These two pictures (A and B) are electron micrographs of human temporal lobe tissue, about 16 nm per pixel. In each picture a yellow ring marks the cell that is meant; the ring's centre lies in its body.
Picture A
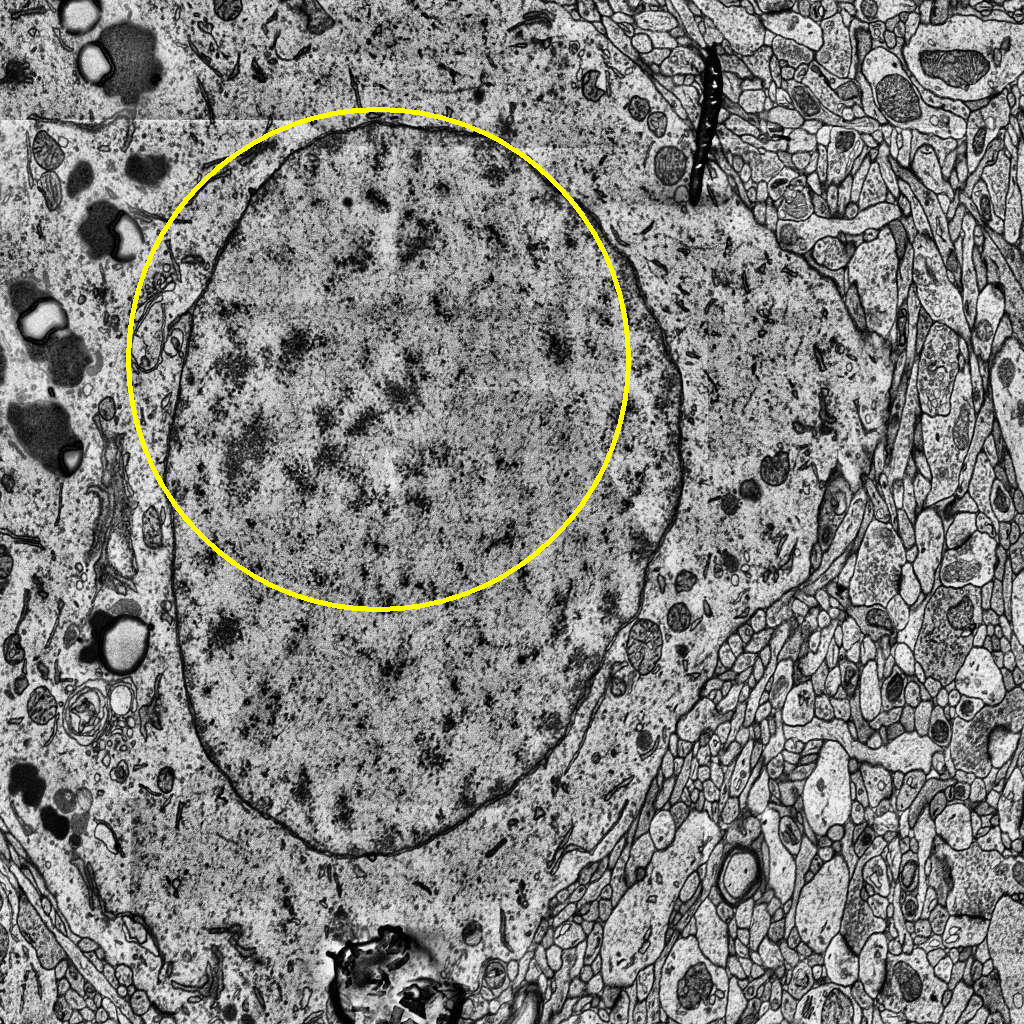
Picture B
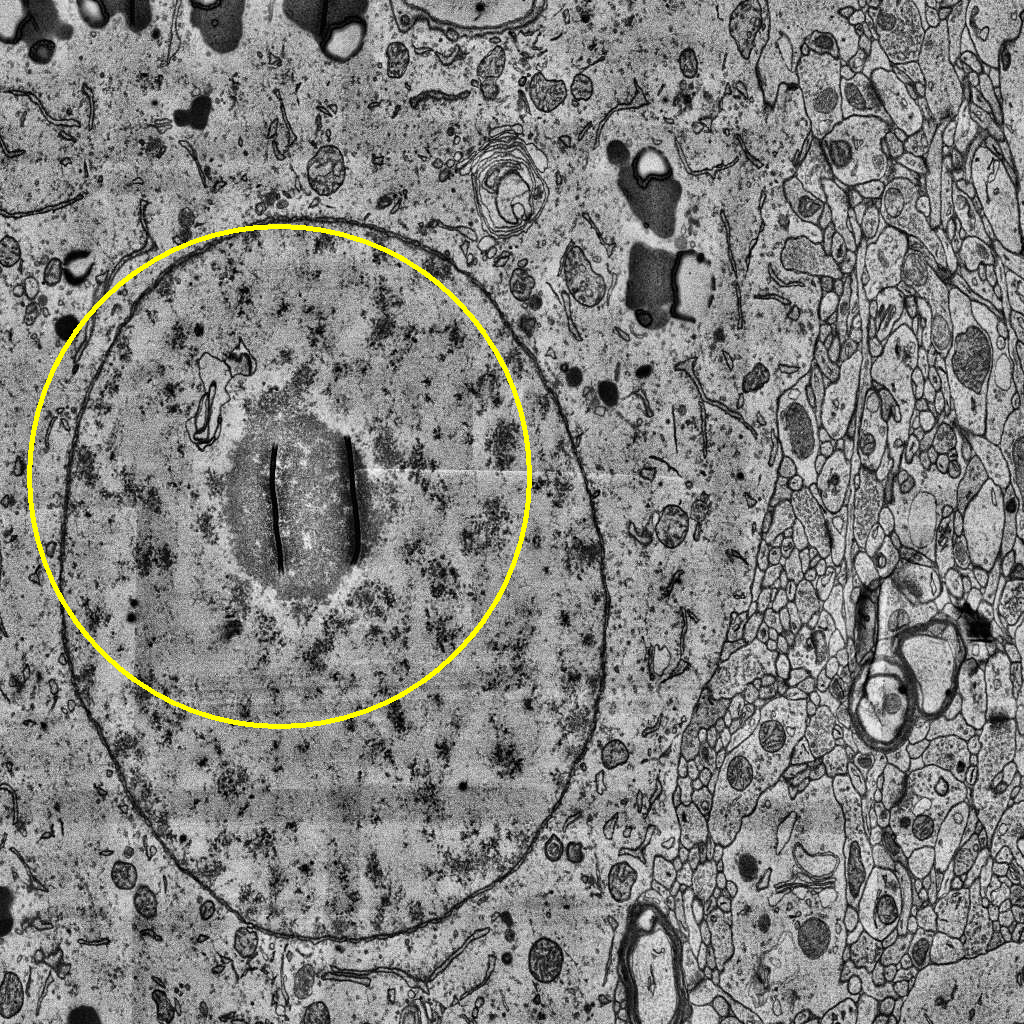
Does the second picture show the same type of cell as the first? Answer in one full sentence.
Yes, they are the same type: both are pyramidal neurons.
